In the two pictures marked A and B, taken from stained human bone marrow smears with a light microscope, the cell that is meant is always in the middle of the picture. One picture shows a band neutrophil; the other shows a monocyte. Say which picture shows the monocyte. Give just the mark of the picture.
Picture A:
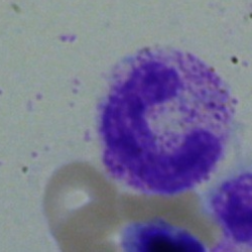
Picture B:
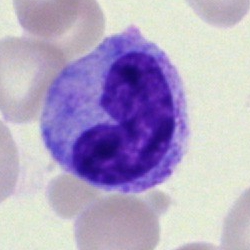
B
